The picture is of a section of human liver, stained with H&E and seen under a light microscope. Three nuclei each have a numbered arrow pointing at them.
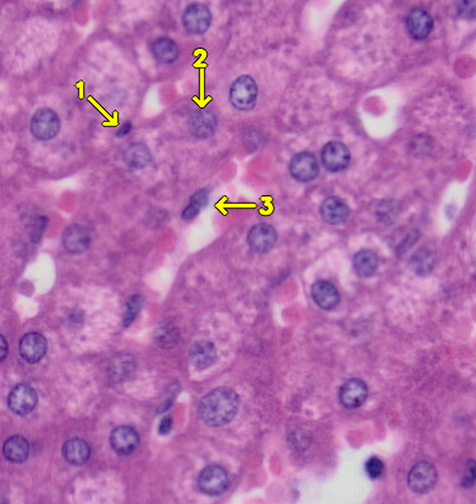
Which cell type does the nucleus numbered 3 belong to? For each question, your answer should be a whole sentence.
Cell 3 should be recorded as a Kupffer cell.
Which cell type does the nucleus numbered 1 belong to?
The cell indicated with the number 1 is classed as a fibroblast or stellate cell.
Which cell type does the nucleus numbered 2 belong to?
Within this field of view, the cell labelled 2 is a hepatocyte.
